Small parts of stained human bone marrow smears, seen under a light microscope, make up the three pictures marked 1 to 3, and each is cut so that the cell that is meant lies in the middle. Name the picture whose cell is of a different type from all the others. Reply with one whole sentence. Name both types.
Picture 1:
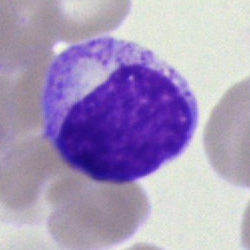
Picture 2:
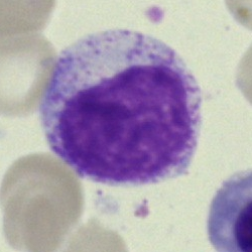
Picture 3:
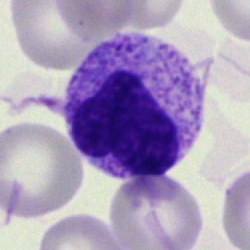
Picture 3 differs, because its cell is a metamyelocyte and the rest are myelocytes.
